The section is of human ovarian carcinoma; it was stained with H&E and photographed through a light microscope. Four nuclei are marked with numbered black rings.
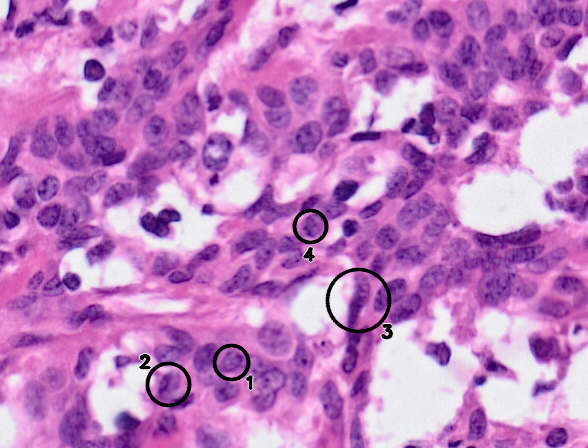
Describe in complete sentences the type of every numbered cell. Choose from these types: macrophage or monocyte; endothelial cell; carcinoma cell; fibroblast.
Cell 1 is a carcinoma cell, cell 2 is a carcinoma cell, cell 3 is a carcinoma cell and cell 4 is a macrophage or monocyte.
